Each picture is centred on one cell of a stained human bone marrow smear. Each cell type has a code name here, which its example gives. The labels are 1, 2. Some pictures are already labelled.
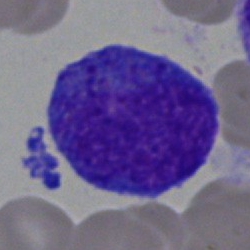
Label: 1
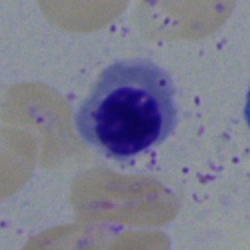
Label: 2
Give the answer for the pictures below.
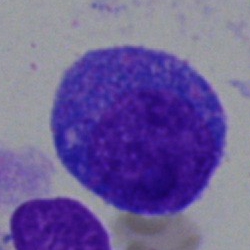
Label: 1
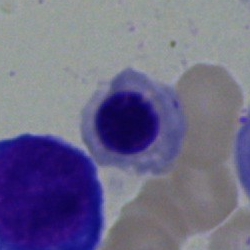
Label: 2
